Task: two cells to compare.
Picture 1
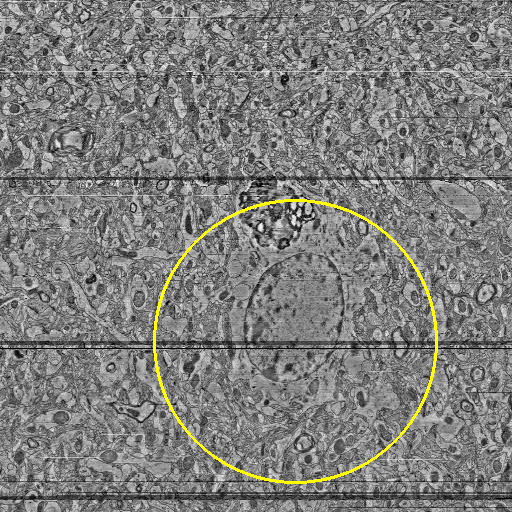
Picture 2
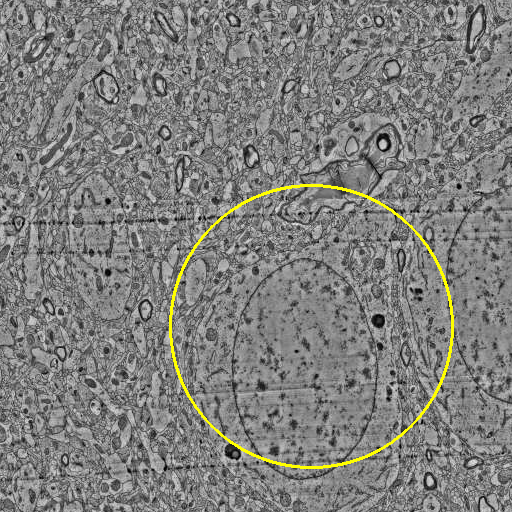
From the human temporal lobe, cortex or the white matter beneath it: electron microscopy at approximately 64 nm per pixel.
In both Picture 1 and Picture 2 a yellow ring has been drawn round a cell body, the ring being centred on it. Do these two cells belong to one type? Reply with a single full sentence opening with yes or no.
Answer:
No, the two cells at the ring centres in Picture 1 and Picture 2 are of two types.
